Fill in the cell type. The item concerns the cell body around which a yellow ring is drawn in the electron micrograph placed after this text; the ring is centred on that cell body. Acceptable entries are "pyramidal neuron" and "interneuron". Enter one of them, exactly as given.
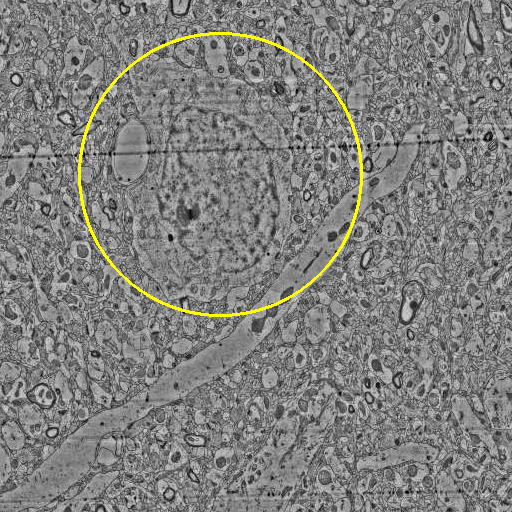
interneuron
